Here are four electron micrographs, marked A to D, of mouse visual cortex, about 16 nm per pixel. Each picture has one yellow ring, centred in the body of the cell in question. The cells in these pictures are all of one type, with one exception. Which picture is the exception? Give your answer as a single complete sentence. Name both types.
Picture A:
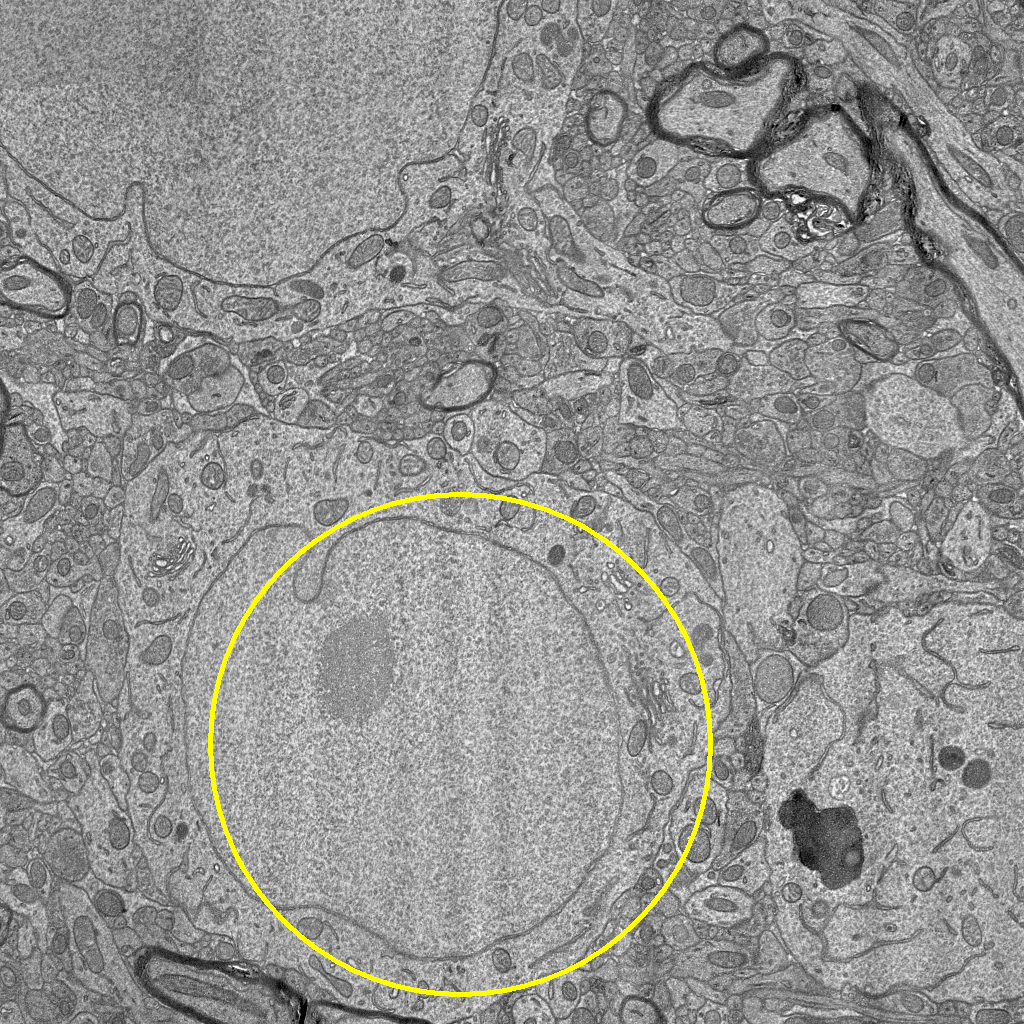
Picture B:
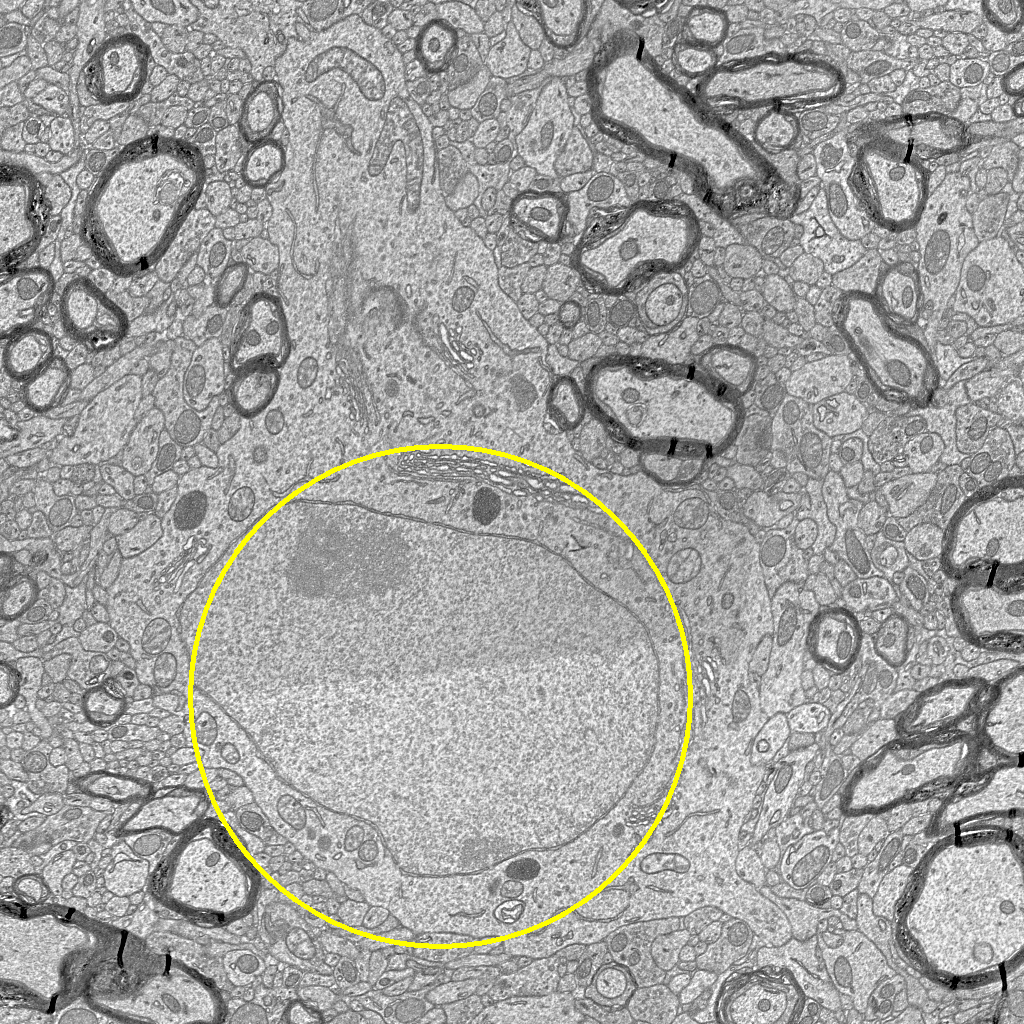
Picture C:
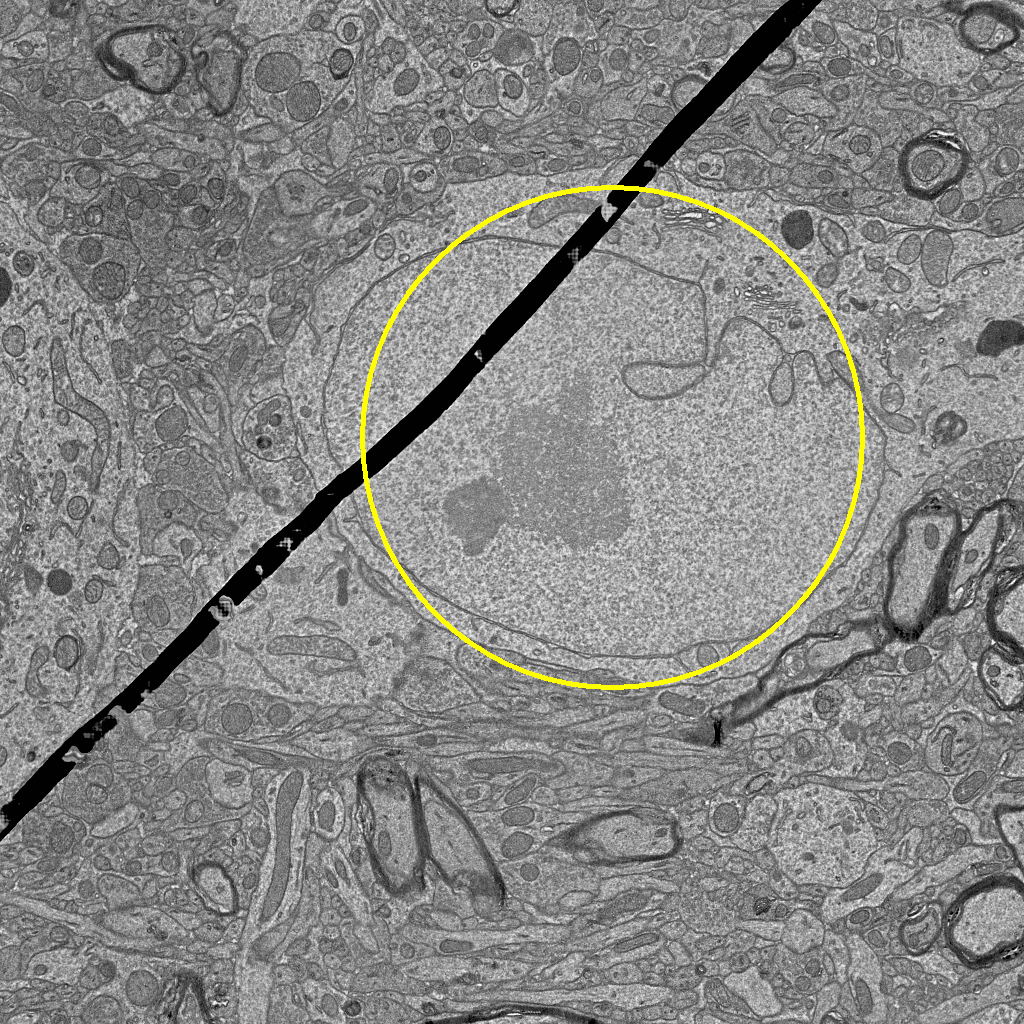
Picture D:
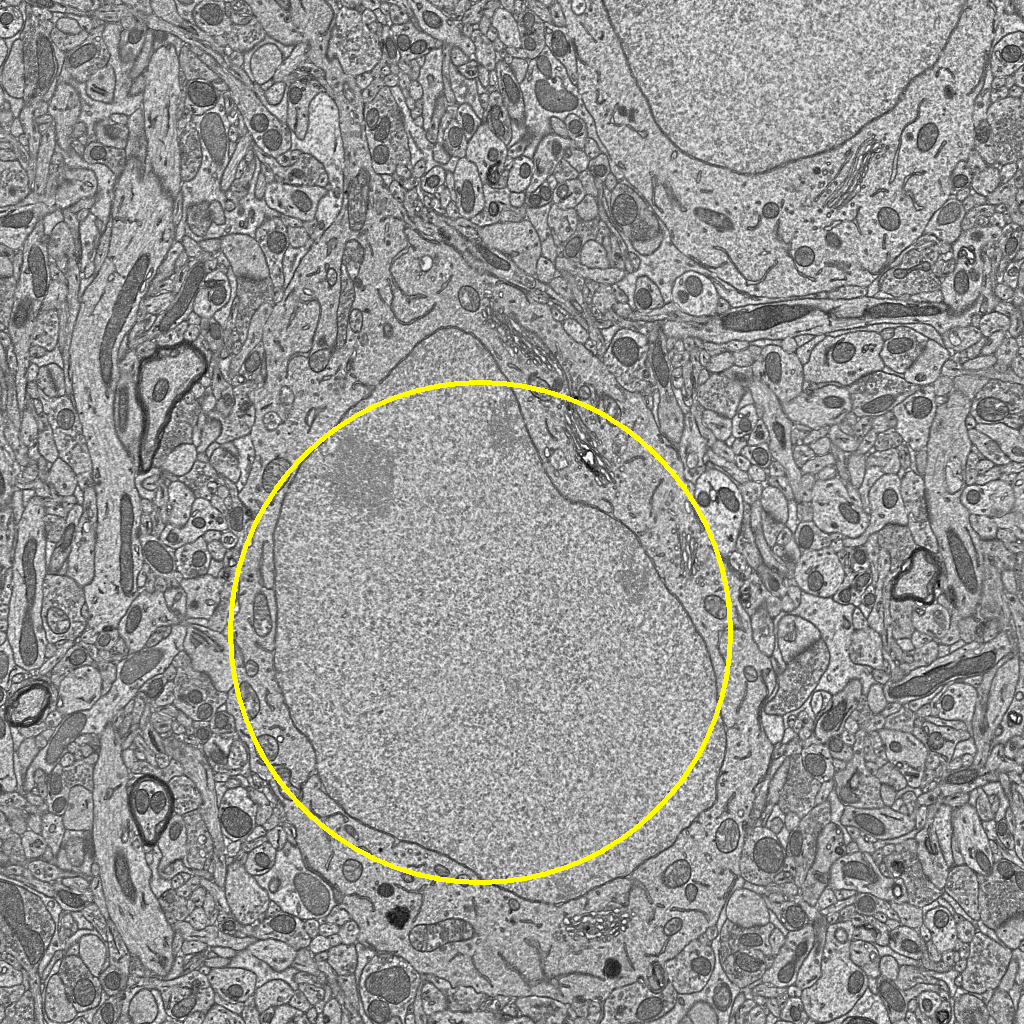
Unlike the rest, which show excitatory neurons, picture C shows an inhibitory neuron.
